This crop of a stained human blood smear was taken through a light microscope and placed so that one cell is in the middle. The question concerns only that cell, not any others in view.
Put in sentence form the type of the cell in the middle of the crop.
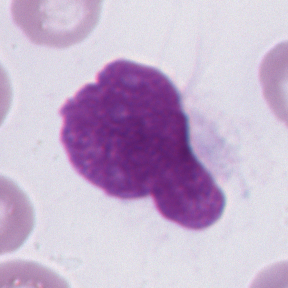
Seen at the centre of the crop is a smudge cell.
